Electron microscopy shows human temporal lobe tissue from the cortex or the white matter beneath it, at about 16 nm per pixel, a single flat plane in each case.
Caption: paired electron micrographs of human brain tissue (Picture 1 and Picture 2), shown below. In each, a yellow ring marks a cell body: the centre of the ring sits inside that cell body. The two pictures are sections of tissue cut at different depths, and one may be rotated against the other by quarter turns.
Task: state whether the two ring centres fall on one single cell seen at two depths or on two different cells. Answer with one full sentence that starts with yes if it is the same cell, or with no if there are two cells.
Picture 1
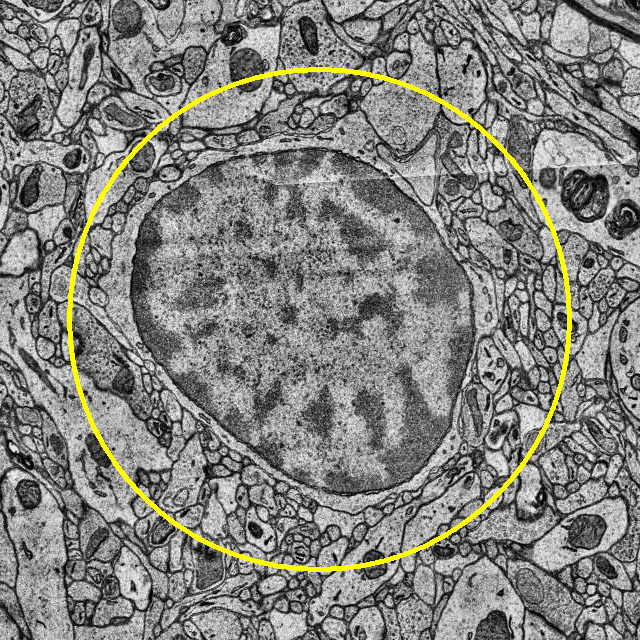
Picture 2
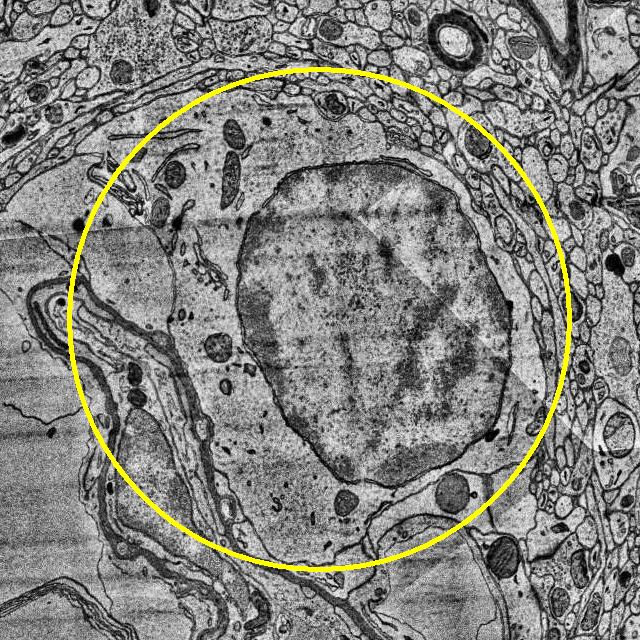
No, within the two rings lie two different cells.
